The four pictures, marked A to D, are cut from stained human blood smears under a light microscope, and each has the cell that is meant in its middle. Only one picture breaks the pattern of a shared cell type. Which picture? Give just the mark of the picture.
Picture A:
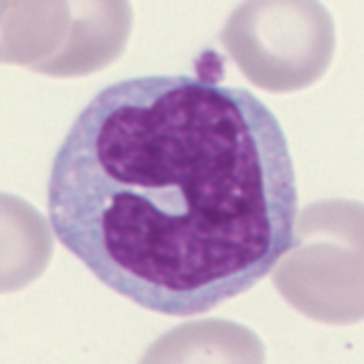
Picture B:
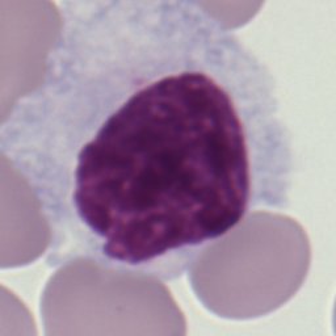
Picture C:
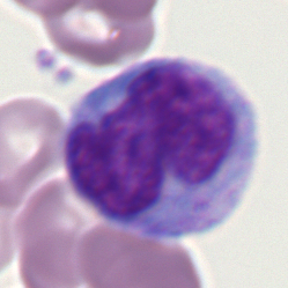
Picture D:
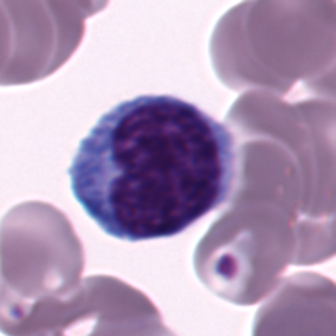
B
